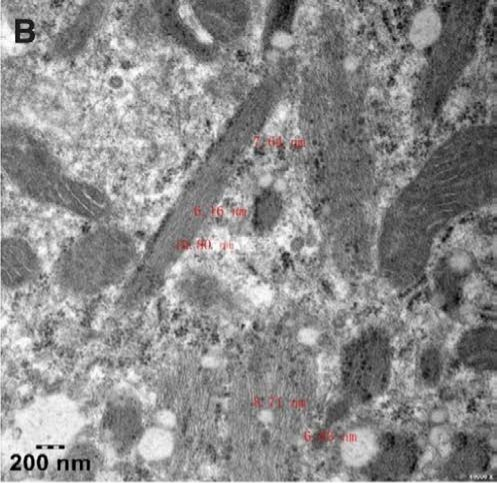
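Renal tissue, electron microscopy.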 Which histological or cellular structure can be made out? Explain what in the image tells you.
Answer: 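Bundles of fine, parallel, straight thread-like filaments run through the cytoplasm. They are arranged in elongated bundles among mitochondria-like bodies. That points to this answer: fibrils.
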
